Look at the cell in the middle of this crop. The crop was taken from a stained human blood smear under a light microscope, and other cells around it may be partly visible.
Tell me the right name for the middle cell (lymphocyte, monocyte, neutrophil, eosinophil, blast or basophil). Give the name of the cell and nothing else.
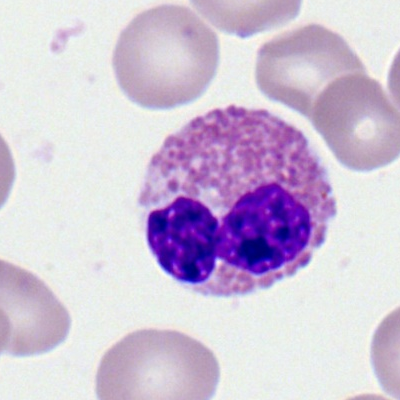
eosinophil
